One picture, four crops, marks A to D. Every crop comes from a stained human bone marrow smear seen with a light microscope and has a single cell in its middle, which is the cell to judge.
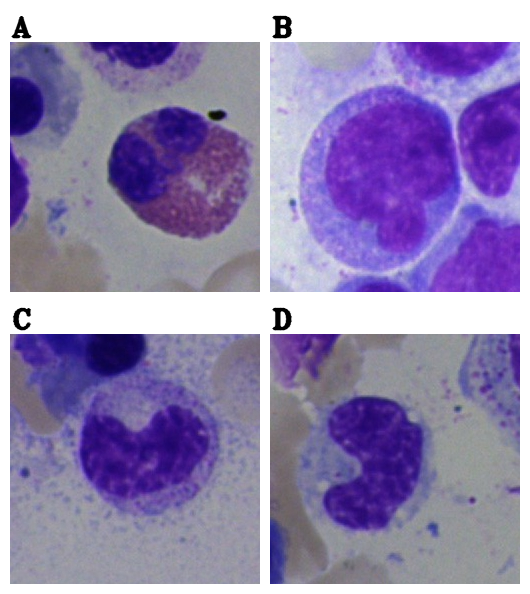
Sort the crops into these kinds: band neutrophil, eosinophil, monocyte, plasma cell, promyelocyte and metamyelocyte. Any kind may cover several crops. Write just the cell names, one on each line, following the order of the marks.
eosinophil
monocyte
band neutrophil
band neutrophil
